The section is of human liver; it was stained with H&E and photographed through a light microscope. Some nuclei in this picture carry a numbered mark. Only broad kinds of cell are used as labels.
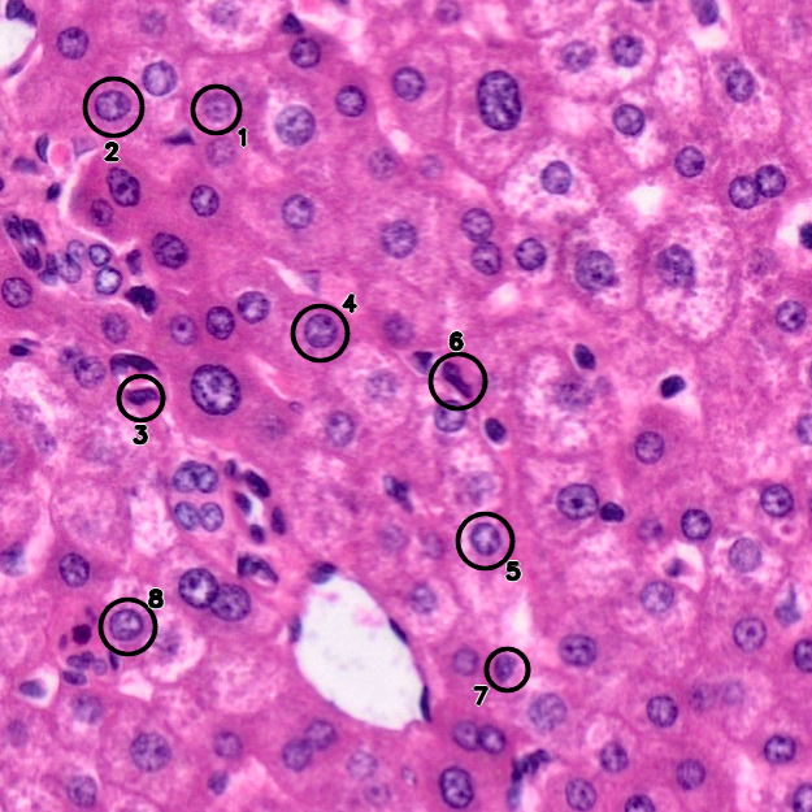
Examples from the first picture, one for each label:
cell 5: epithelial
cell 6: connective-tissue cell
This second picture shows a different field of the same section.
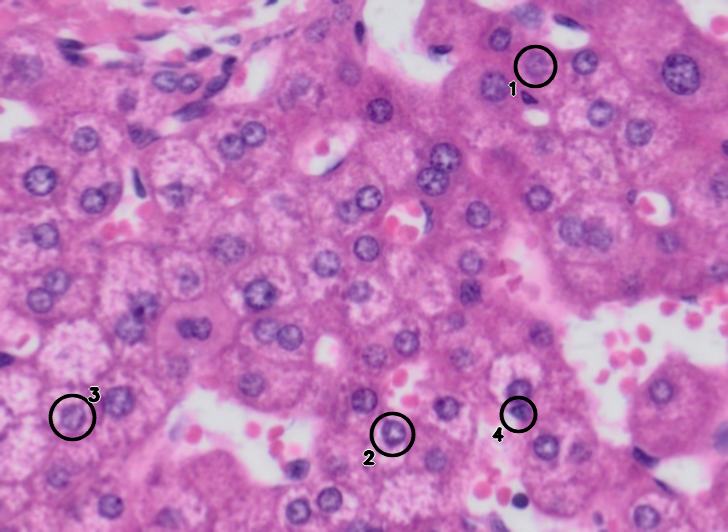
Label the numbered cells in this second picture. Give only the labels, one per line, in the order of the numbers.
epithelial
epithelial
epithelial
connective-tissue cell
